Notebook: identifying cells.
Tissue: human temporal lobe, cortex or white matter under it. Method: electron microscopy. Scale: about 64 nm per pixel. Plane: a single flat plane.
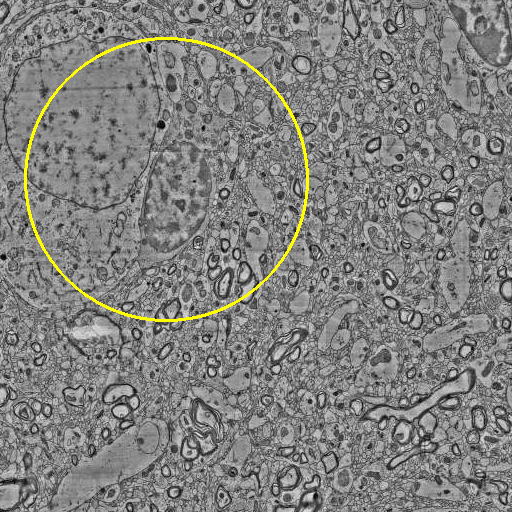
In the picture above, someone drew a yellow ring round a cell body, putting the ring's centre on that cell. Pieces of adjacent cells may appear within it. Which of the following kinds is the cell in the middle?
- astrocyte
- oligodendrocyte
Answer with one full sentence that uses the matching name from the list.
In this picture, the yellow ring is centred on the body of an oligodendrocyte.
